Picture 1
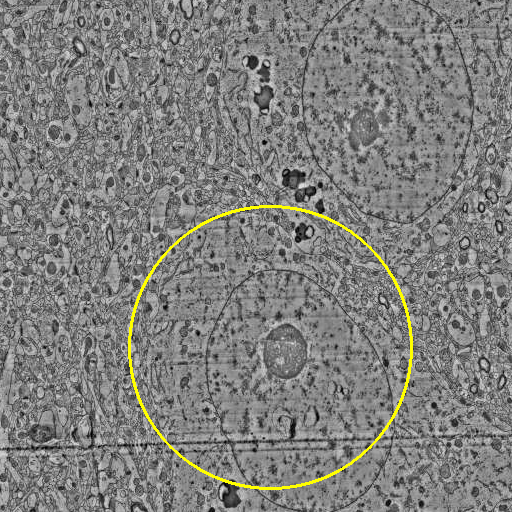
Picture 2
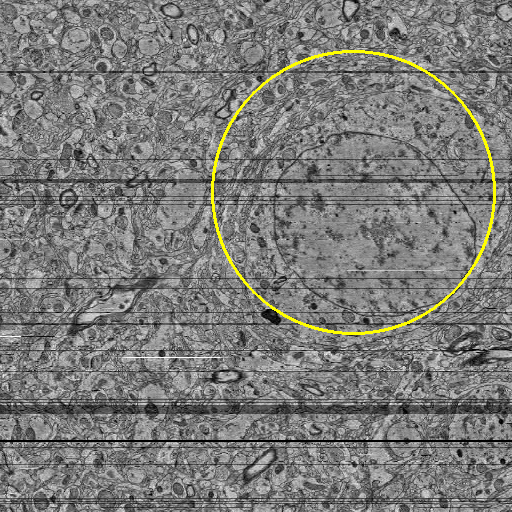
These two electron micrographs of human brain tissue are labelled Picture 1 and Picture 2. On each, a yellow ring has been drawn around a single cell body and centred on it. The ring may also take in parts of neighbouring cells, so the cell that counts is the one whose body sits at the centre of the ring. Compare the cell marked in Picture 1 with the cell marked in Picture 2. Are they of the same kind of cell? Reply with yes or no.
yes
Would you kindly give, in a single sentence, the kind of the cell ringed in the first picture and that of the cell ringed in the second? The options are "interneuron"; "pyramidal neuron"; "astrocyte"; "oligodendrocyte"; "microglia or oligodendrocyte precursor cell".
The ring centre holds a pyramidal neuron in each of the two pictures.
